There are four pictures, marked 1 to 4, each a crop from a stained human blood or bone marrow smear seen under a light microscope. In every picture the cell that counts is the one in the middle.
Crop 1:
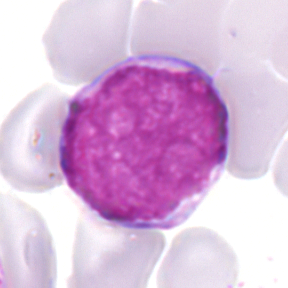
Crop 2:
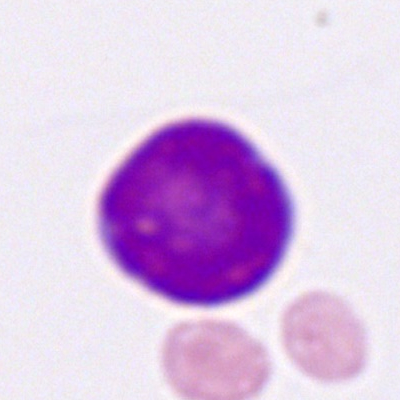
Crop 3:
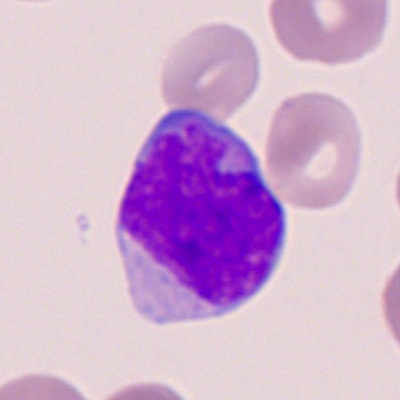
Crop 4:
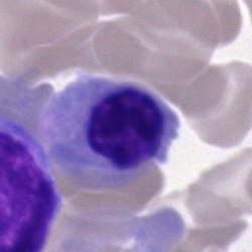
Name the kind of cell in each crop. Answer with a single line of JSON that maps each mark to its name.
{"1": "blast", "2": "blast", "3": "blast", "4": "normoblast"}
